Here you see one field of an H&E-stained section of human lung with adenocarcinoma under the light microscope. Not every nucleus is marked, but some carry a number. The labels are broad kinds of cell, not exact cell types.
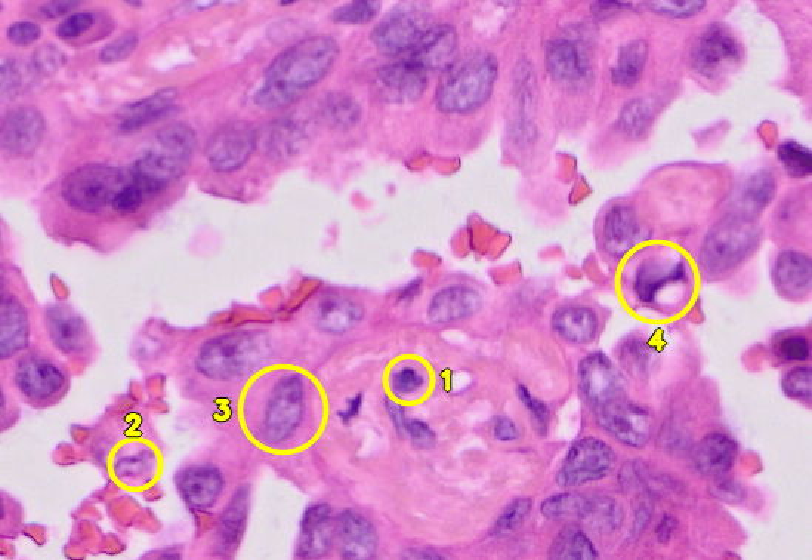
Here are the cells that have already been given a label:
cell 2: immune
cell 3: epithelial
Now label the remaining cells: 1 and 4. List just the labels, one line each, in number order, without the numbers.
immune
epithelial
